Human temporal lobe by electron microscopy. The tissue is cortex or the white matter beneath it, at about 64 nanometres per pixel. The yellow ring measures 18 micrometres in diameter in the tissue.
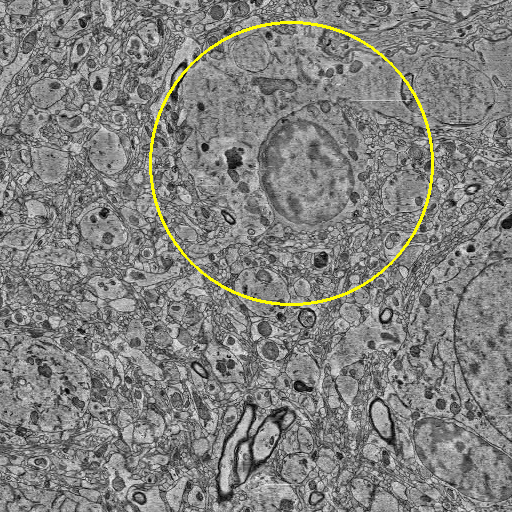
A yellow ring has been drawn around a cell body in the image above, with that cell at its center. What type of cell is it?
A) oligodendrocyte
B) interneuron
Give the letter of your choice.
A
